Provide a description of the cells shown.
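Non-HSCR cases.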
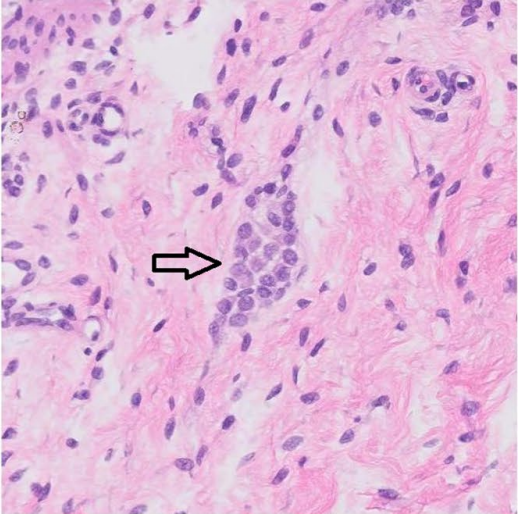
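Loose pink connective tissue contains an elongated cluster of immature ganglion cells lying in the centre of the field. The cells are packed closely together in a cord-like group. Each has a small round to oval purple nucleus with fine chromatin and no conspicuous nucleolus. There is only a thin rim of cytoplasm around each nucleus. Around the cluster lie scattered spindle-shaped and oval stromal nuclei in lightly stained, loosely arranged fibres. Small vessels with rounded lumens are seen nearby. Large ganglion cells with abundant pink cytoplasm are not seen.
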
